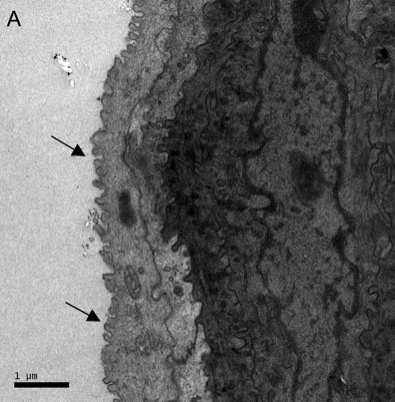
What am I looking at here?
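This is an electron micrograph of the outer surface of an epithelium, with the free cell surface on the left facing an empty space. The outermost cell is pale and thin, and its surface membrane is thrown into many small finger-like microvilli. Beneath it lie darker, more electron-dense cells whose borders interlock with one another in tortuous, folded membranes. Scattered small organelles and vesicles can be seen in the pale superficial cytoplasm.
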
